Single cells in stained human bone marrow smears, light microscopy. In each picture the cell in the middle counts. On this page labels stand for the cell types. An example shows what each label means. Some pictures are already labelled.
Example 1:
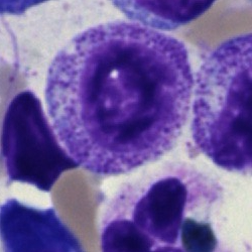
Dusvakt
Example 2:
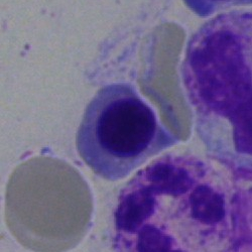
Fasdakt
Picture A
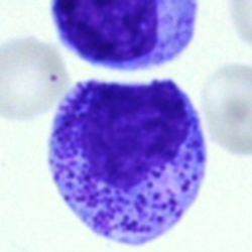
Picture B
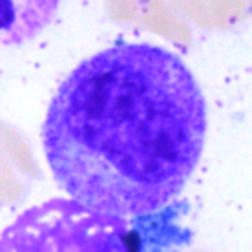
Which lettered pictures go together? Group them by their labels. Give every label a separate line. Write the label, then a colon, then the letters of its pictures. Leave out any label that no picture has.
Dusvakt: A, B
